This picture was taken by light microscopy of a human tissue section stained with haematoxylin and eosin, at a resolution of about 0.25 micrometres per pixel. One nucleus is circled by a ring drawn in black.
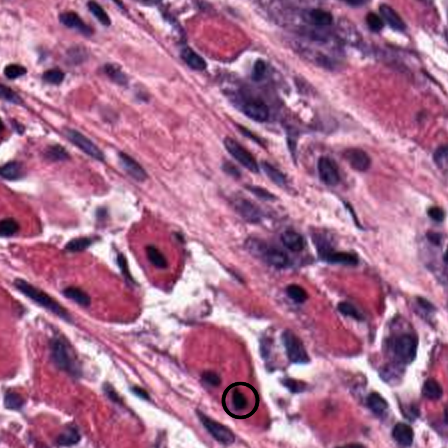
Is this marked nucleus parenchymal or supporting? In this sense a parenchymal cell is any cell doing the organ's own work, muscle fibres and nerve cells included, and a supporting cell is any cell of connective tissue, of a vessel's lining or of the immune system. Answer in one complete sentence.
The marked nucleus belongs to a cell of the parenchyma, namely a parietal cell.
